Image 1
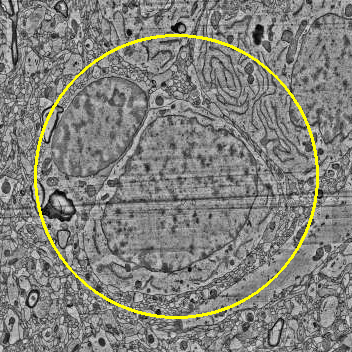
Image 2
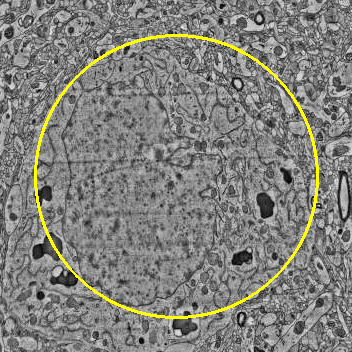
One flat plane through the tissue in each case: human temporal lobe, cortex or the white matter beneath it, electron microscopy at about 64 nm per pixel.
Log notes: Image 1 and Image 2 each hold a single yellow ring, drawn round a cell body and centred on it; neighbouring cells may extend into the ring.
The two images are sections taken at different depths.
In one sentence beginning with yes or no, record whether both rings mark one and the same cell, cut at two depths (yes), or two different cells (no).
No, the two rings do not mark one cell; they mark two different cells.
